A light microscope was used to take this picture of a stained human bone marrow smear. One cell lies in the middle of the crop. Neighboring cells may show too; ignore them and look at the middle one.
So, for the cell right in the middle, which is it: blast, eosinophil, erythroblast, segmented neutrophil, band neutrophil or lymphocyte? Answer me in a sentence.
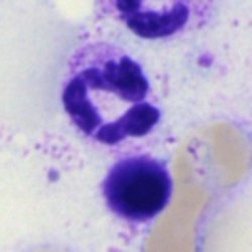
The central cell, amid any neighbouring cells, is a segmented neutrophil.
